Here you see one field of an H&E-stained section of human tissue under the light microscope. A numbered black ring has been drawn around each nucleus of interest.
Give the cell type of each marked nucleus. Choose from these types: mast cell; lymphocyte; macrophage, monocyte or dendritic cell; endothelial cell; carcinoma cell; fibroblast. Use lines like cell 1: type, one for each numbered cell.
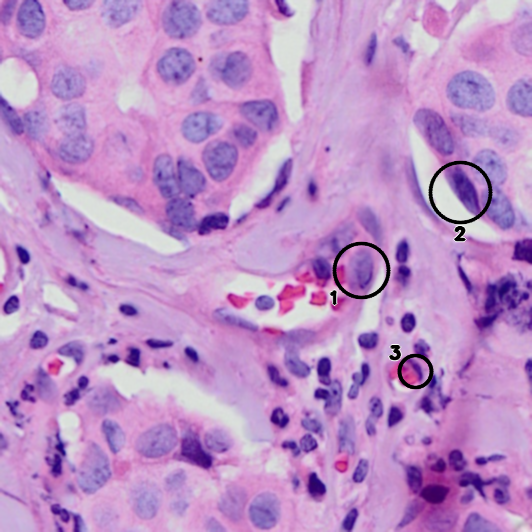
cell 1: endothelial cell
cell 2: carcinoma cell
cell 3: endothelial cell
